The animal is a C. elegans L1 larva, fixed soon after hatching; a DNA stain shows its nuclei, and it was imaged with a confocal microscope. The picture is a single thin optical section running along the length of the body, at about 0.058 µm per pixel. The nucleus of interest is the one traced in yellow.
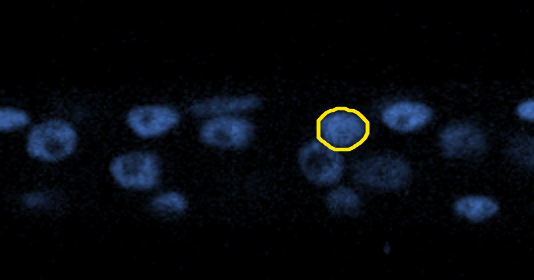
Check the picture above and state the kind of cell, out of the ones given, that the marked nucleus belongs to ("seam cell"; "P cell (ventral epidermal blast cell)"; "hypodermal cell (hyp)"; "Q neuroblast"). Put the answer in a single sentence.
The cell with the marked nucleus is a Q neuroblast.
